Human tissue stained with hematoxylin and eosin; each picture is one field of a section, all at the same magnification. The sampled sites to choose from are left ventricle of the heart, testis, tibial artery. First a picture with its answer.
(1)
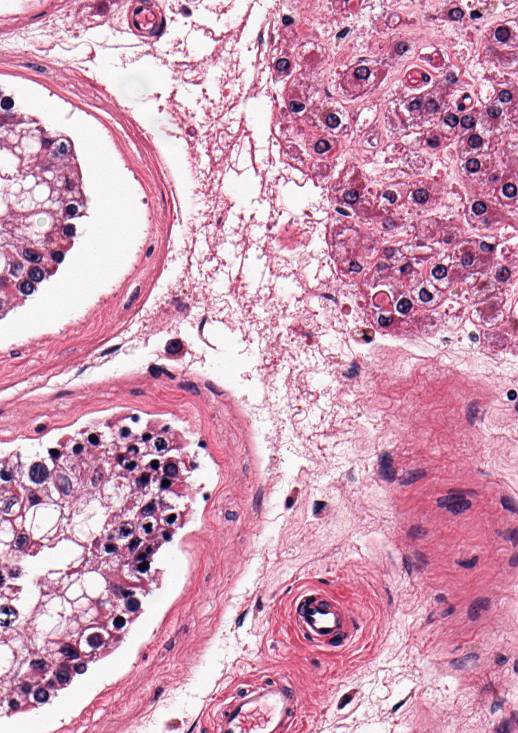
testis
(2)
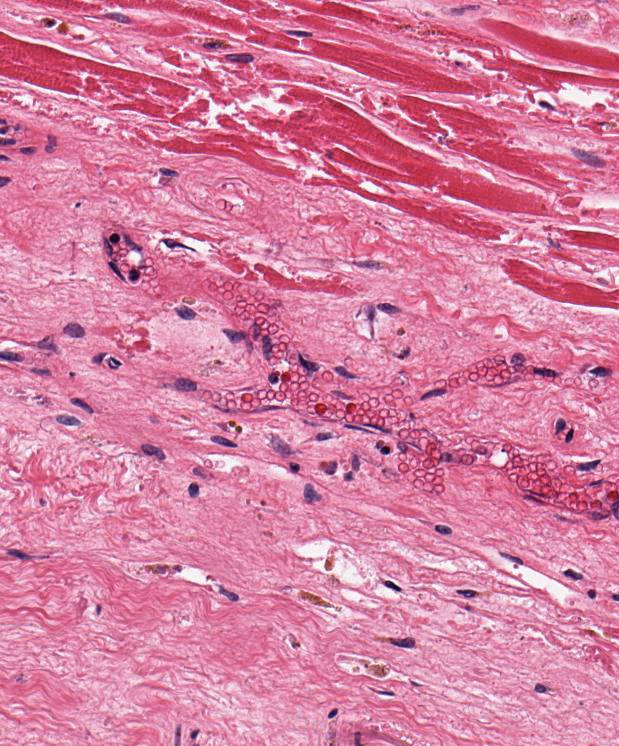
left ventricle of the heart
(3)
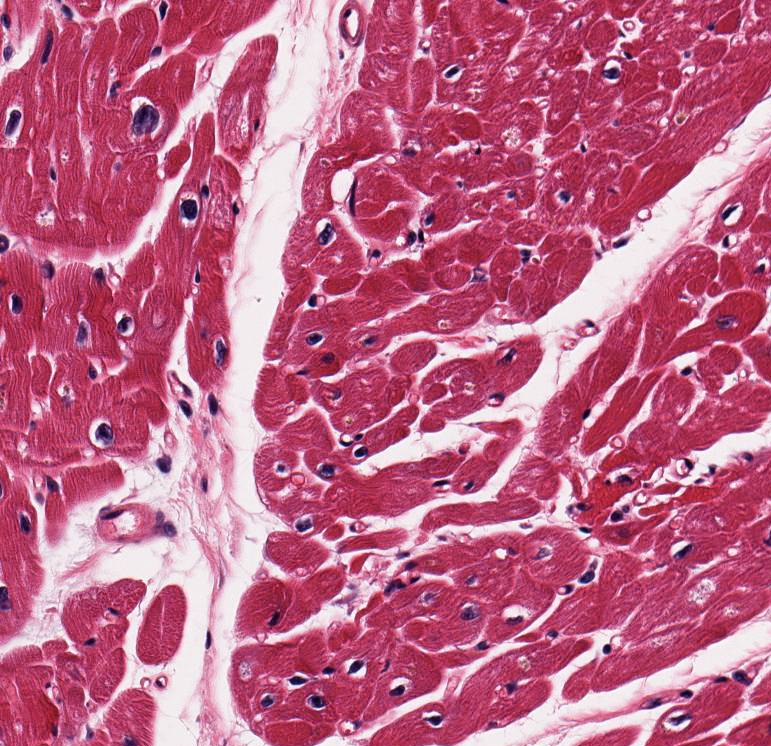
left ventricle of the heart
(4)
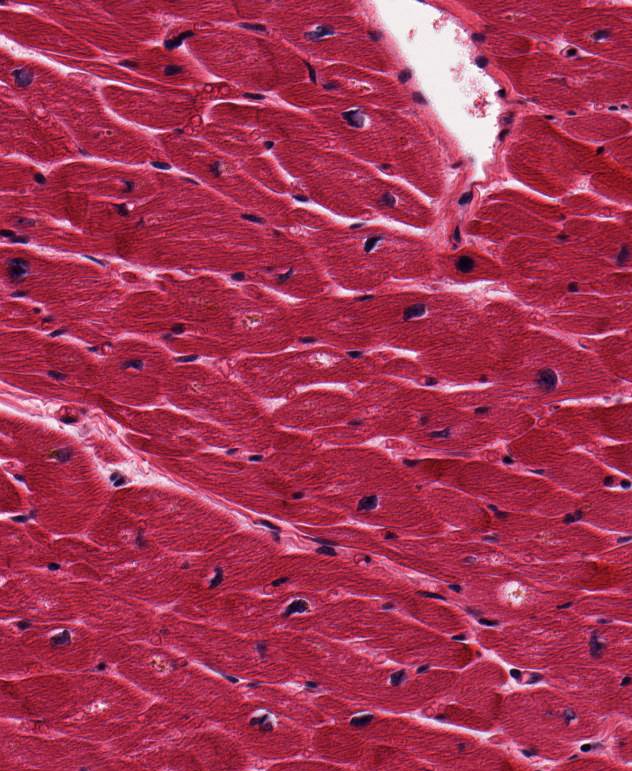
left ventricle of the heart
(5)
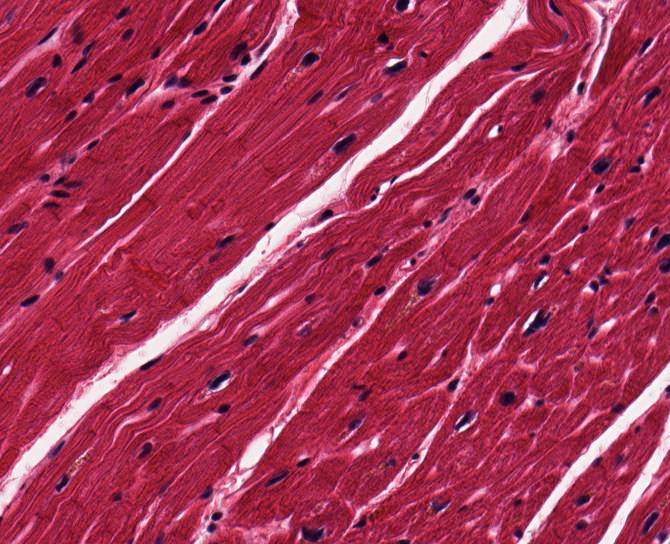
left ventricle of the heart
